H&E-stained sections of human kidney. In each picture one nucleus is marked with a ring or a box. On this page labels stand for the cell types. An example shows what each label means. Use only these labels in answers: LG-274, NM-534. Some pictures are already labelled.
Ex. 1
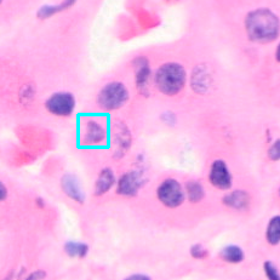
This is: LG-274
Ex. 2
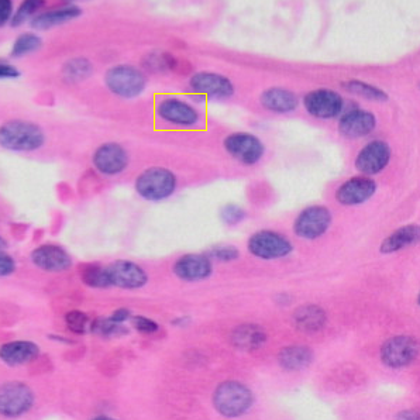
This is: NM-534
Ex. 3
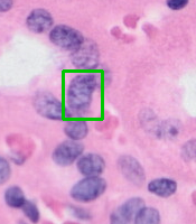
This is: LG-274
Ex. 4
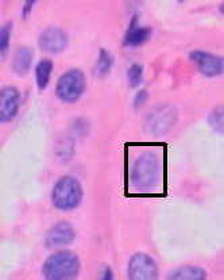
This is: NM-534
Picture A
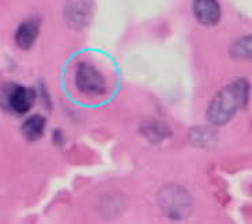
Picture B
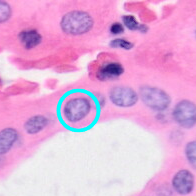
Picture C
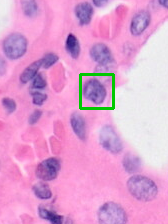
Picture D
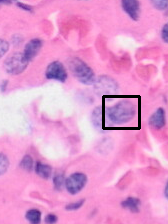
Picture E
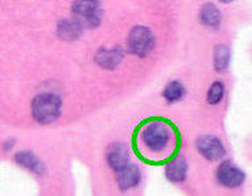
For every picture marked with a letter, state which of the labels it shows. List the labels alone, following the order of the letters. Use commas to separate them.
NM-534, LG-274, LG-274, LG-274, LG-274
